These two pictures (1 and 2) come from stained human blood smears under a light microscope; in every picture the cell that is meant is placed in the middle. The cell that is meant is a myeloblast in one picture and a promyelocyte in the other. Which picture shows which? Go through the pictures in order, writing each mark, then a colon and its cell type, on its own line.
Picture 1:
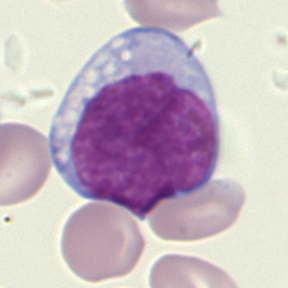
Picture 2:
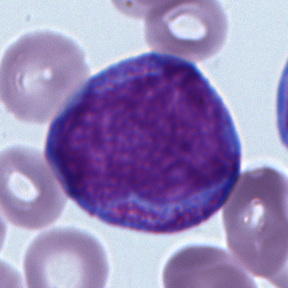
1: myeloblast
2: promyelocyte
